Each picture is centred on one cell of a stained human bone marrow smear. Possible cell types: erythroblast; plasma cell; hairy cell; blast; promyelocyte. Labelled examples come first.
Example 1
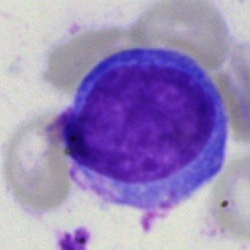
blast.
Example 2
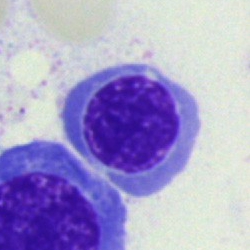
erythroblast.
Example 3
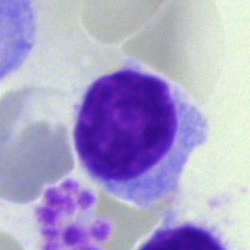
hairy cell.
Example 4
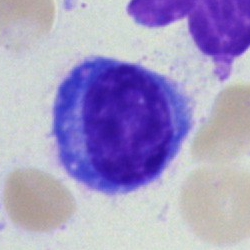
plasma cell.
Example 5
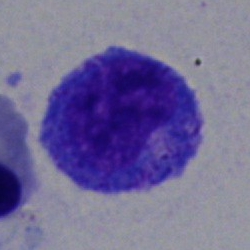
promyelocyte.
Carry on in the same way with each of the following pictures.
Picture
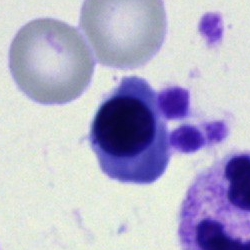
erythroblast.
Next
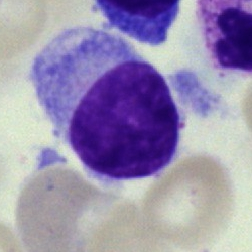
hairy cell.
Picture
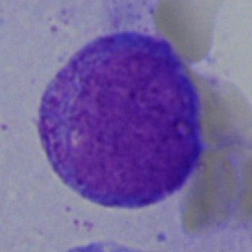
promyelocyte.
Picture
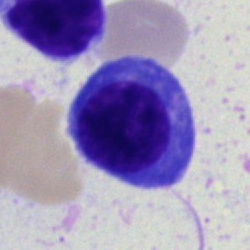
plasma cell.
